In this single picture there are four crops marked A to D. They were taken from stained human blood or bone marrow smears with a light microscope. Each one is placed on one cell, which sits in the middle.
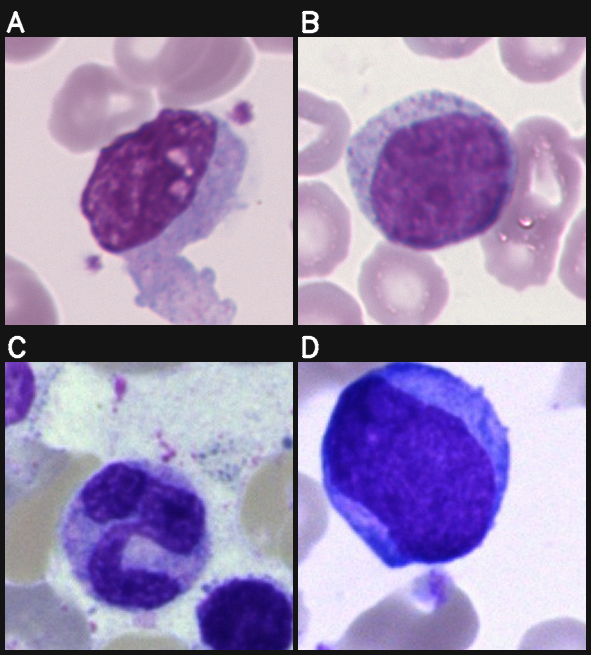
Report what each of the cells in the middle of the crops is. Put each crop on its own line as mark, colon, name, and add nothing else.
A: monocyte
B: promyelocyte
C: monocyte
D: blast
